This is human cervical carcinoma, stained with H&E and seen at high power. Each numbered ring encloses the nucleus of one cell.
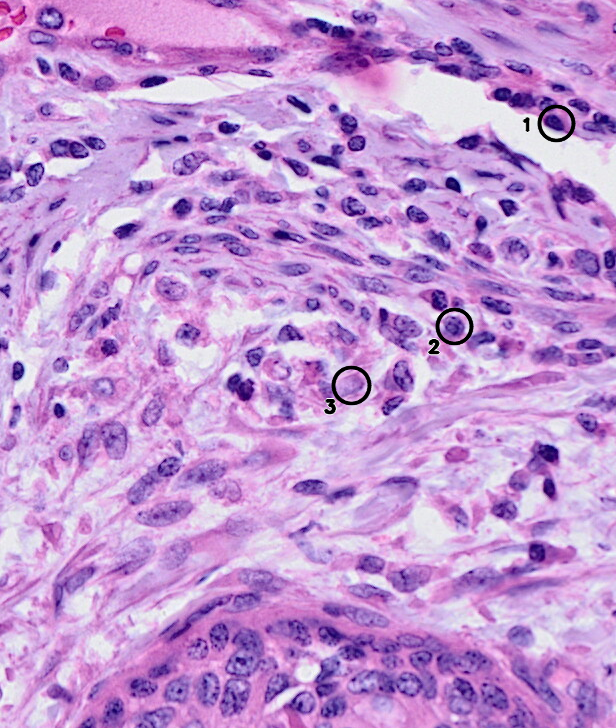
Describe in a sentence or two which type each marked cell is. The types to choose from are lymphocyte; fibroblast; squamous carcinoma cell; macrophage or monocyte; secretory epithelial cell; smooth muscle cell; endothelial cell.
Cell 1 is a lymphocyte, cell 2 is a lymphocyte and cell 3 is a fibroblast.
